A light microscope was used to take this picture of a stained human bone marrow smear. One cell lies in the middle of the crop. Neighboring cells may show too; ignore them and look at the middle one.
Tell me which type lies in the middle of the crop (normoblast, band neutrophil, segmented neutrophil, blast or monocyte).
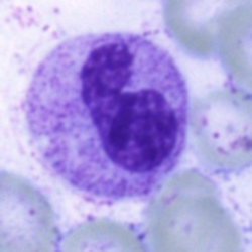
band neutrophil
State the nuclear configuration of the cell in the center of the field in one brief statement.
A single compact nucleus, round, oval or kidney-shaped, is what this cell shows.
